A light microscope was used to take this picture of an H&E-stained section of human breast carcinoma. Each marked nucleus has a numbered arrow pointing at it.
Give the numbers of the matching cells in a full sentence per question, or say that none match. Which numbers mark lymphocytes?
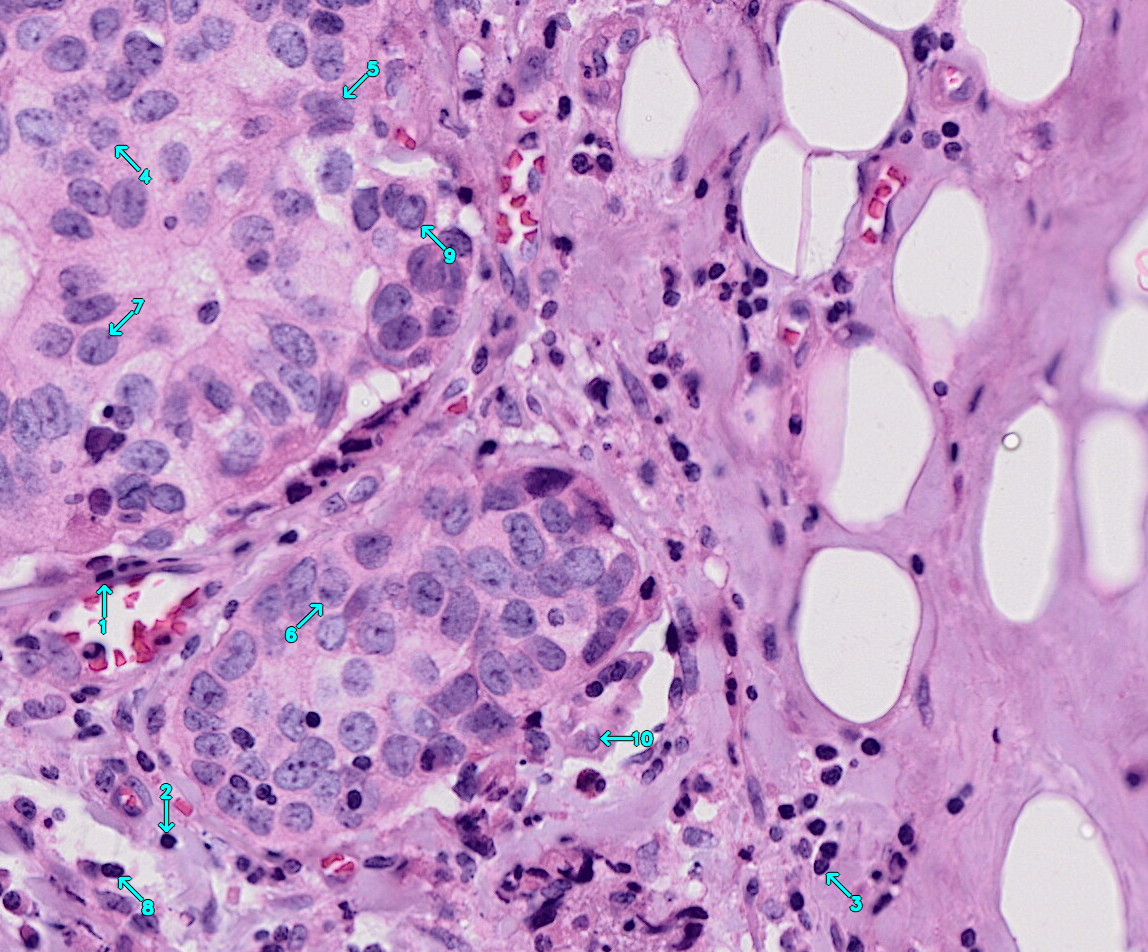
As for the cells numbered 2, 3 and 8, they are lymphocytes.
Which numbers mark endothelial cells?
Cells 1 and 10 are recognised here as endothelial cells.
